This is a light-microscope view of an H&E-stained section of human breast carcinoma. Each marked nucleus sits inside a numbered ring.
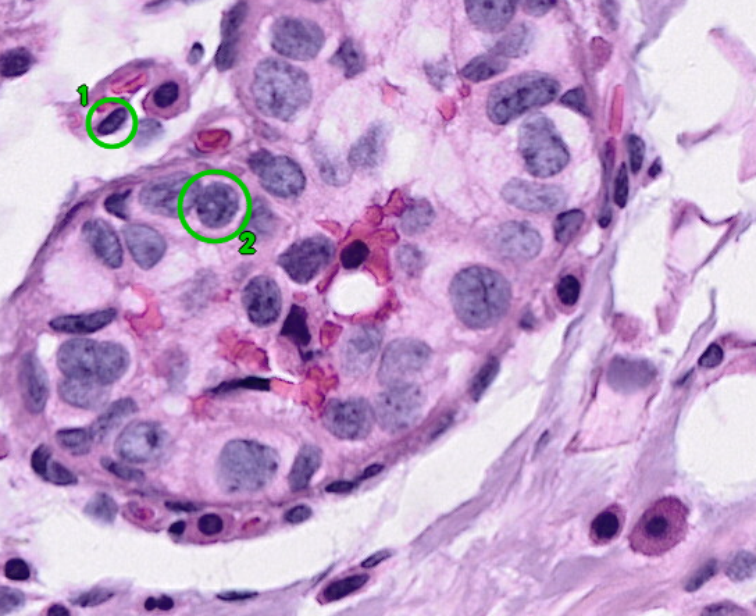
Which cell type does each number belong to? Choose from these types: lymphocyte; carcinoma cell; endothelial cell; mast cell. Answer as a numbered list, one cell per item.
1. endothelial cell
2. carcinoma cell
